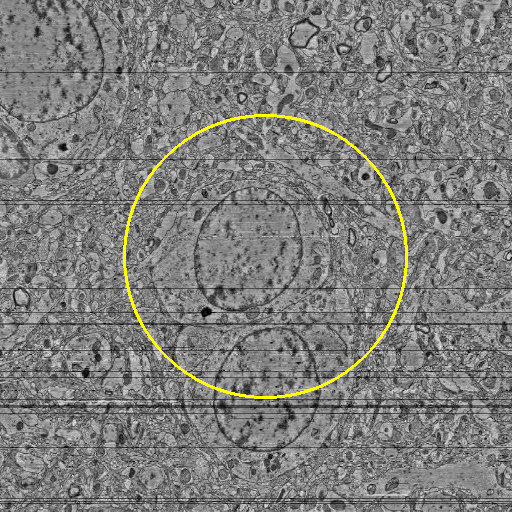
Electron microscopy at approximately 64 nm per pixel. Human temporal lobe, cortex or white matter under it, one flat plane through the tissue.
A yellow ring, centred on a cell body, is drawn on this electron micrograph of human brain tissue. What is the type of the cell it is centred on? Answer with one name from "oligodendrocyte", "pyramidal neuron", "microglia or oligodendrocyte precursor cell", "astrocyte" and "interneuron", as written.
pyramidal neuron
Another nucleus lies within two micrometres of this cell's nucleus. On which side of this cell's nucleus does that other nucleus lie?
The second nucleus sits below it.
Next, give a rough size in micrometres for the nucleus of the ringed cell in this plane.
In this plane, the nucleus is roughly 8 by 7 micrometres.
